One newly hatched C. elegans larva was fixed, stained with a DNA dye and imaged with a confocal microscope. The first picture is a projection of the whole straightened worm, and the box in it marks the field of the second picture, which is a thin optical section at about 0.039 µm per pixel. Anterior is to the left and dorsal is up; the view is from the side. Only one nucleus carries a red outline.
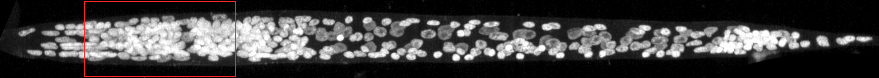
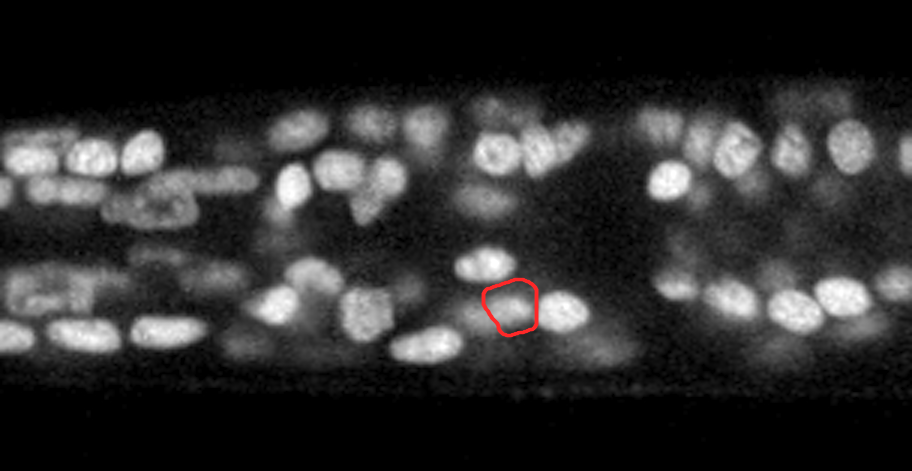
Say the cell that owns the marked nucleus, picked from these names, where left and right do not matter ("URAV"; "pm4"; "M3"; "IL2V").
URAV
